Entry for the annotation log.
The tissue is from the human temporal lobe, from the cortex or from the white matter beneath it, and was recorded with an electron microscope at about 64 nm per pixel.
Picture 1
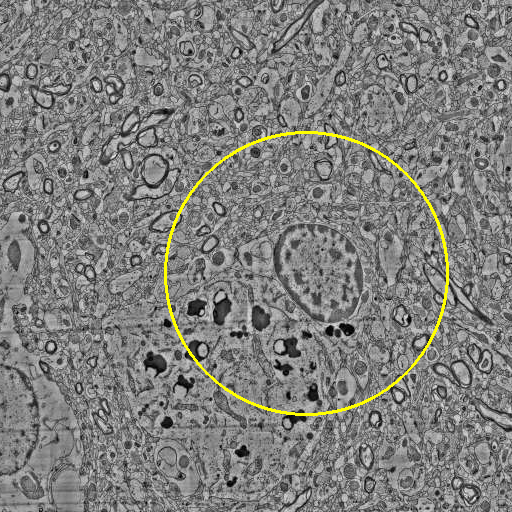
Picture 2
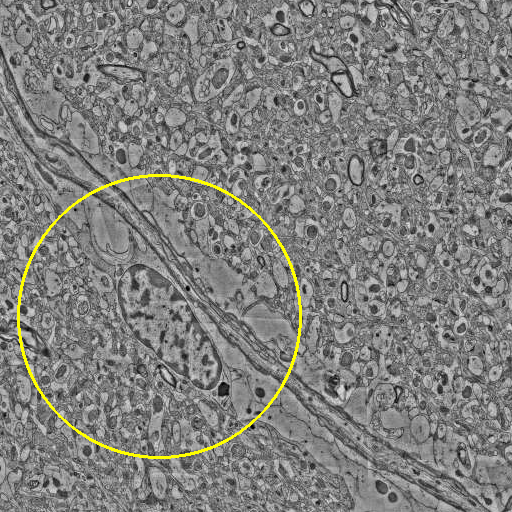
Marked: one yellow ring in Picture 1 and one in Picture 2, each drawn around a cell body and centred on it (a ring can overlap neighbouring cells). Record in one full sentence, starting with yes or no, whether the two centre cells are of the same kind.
Yes, both cells are of the same kind.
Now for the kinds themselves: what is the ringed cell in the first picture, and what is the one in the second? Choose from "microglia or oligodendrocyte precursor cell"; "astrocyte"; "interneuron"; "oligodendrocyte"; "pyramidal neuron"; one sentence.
In the first picture and in the second, the ring is centred on a microglial cell or oligodendrocyte precursor cell.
